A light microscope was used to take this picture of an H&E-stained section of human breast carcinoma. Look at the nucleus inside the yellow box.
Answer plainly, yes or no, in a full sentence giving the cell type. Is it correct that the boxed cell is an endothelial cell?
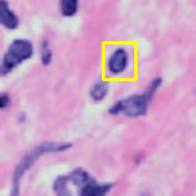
No, a lymphocyte is what the boxed cell is, not an endothelial cell.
